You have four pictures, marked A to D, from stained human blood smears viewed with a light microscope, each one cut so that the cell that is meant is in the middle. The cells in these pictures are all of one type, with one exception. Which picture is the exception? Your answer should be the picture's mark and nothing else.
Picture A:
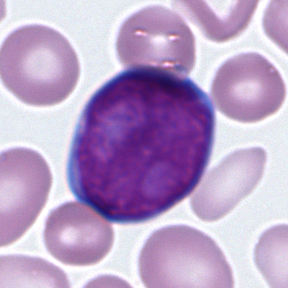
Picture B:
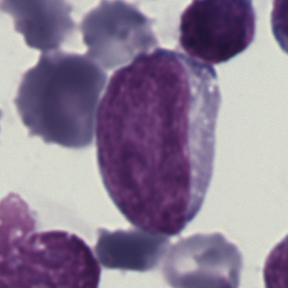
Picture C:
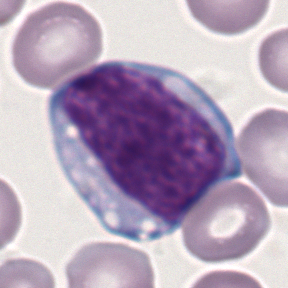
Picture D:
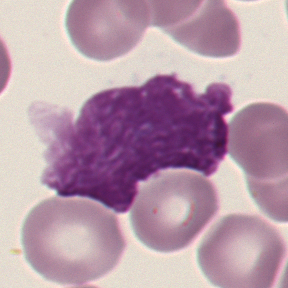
D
